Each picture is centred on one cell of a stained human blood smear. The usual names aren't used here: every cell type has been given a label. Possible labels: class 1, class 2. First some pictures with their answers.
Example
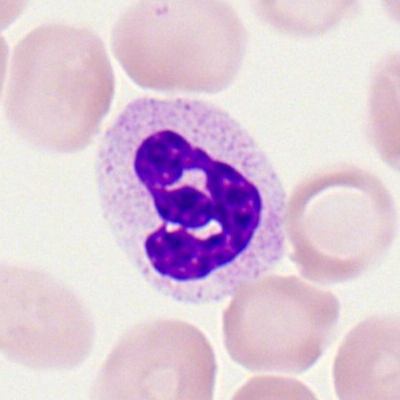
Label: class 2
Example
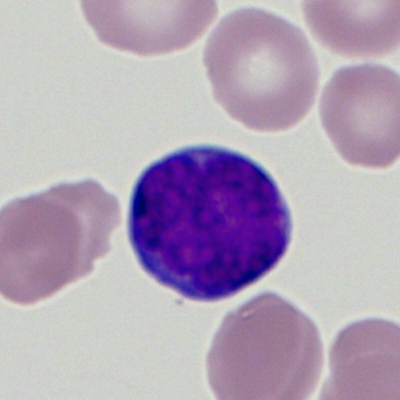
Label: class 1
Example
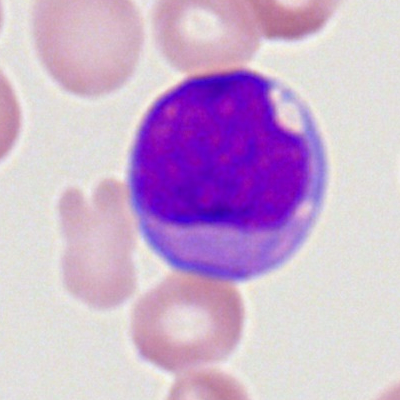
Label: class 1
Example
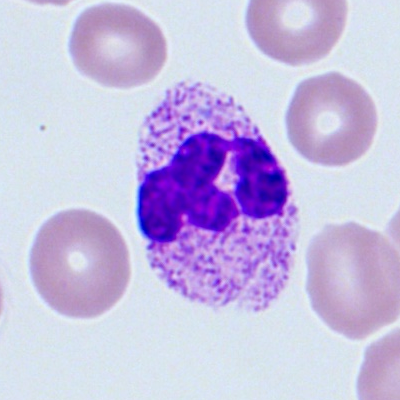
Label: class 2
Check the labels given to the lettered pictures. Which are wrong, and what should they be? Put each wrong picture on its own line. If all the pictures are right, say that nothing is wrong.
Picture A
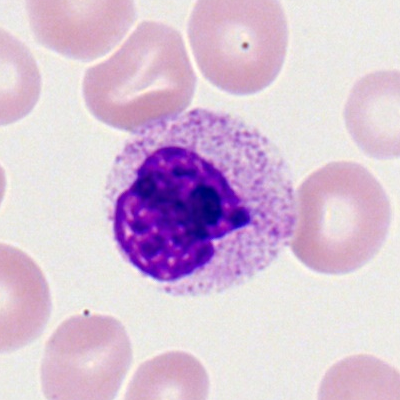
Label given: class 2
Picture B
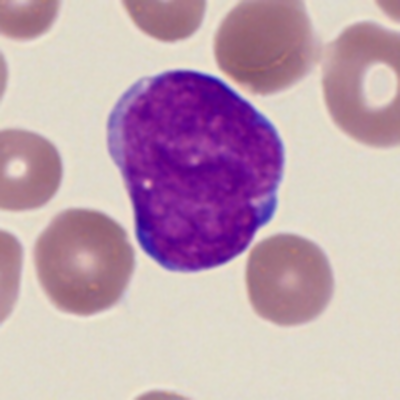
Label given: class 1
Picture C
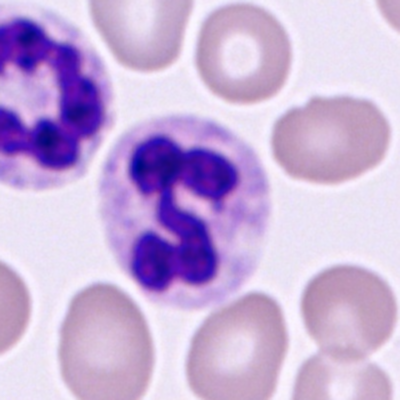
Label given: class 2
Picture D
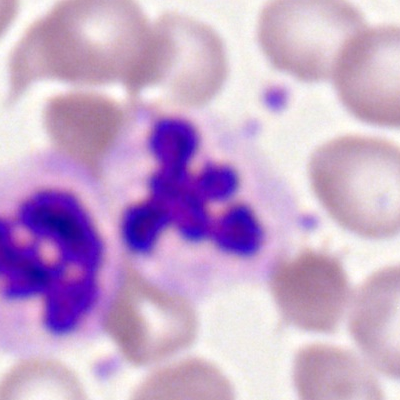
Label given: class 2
Every label is right.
